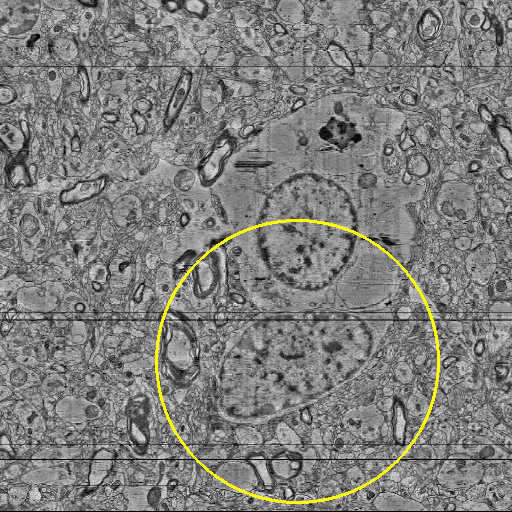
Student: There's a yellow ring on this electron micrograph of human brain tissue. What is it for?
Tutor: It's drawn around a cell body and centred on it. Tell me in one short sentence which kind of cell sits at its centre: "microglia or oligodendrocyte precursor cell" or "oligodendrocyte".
The cell at the centre of the ring is a microglial cell or oligodendrocyte precursor cell.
